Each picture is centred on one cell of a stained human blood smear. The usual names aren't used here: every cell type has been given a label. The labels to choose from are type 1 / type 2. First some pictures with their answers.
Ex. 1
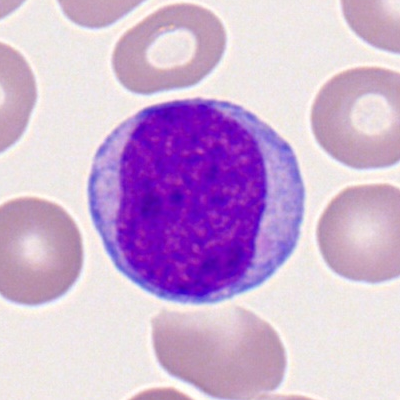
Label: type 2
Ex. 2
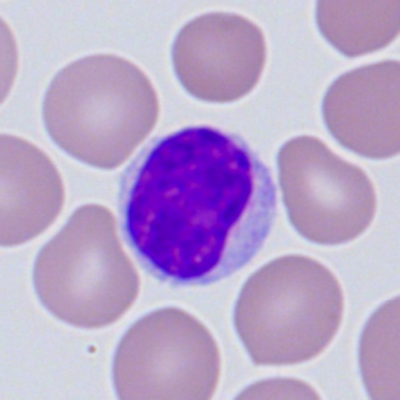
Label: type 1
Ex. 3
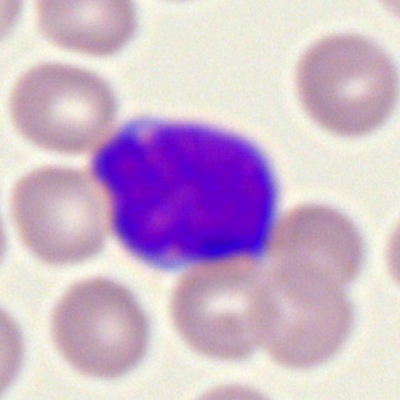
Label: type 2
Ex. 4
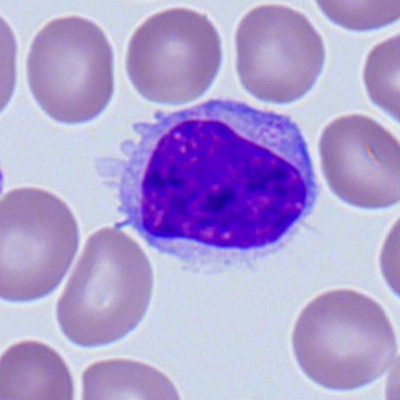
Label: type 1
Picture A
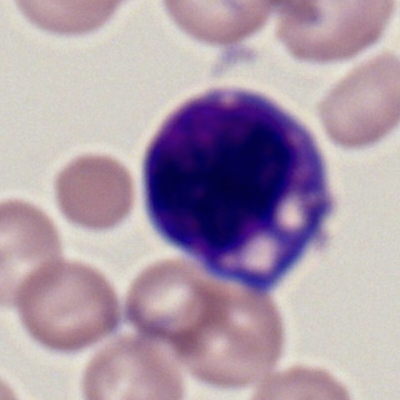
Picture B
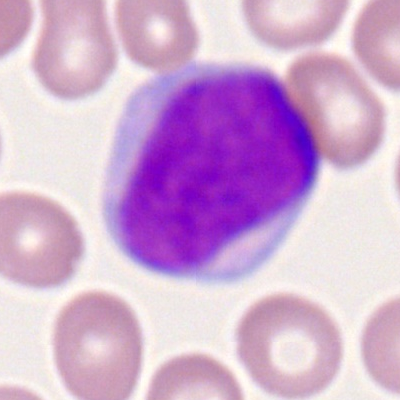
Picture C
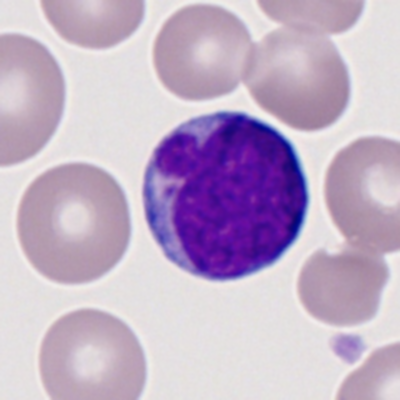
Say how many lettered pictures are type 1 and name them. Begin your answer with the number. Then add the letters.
0, none of them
